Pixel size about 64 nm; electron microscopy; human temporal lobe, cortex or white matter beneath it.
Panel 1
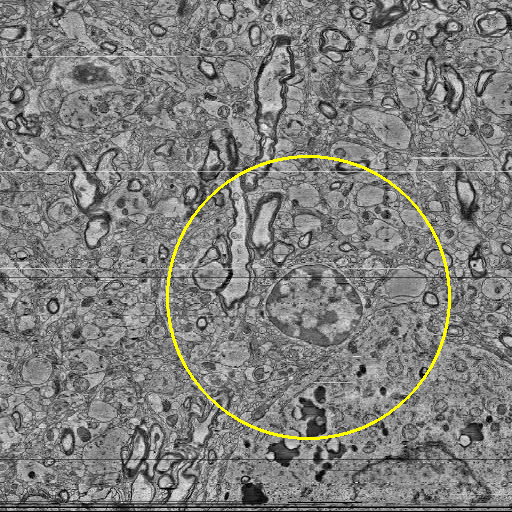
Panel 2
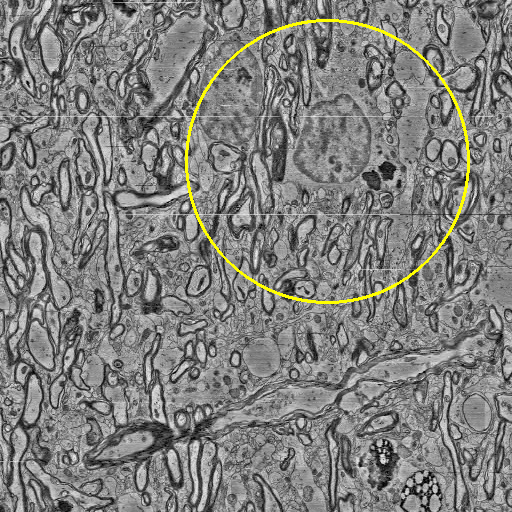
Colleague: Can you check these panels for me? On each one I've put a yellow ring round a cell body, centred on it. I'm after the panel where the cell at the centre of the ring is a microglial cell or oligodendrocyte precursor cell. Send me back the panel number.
1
